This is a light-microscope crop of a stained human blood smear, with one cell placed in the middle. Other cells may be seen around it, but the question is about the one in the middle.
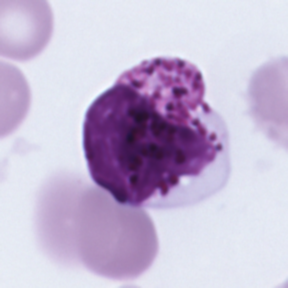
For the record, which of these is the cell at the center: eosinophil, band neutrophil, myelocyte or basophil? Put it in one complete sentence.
This crop is built around a basophil at its centre.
